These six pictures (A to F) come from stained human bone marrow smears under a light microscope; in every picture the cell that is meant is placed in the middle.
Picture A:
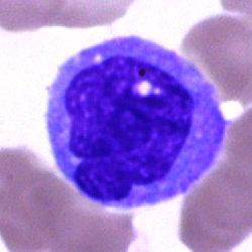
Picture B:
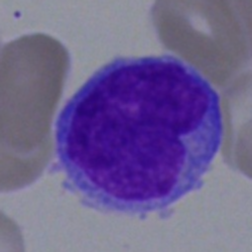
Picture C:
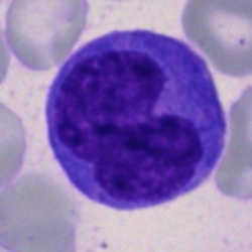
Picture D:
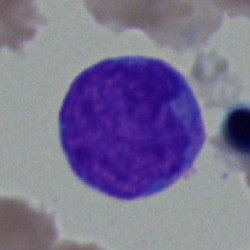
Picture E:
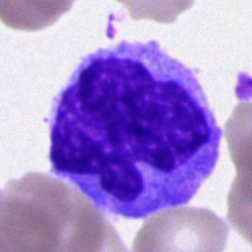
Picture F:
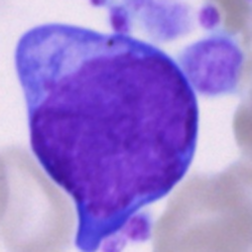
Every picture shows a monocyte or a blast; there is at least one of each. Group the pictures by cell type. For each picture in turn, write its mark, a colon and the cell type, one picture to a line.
A: monocyte
B: blast
C: monocyte
D: blast
E: monocyte
F: blast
